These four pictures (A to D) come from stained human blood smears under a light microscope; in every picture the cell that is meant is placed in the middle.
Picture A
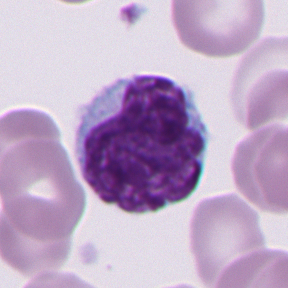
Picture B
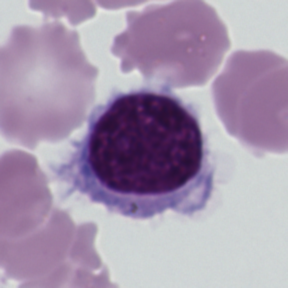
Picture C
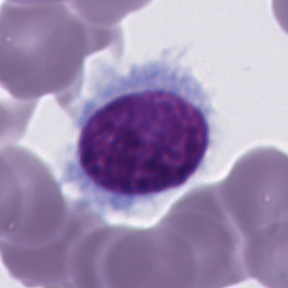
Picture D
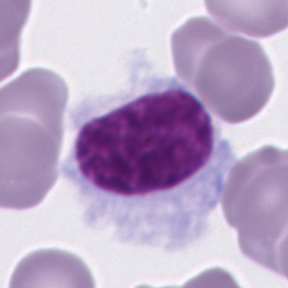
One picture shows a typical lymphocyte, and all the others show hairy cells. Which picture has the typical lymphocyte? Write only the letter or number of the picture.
A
